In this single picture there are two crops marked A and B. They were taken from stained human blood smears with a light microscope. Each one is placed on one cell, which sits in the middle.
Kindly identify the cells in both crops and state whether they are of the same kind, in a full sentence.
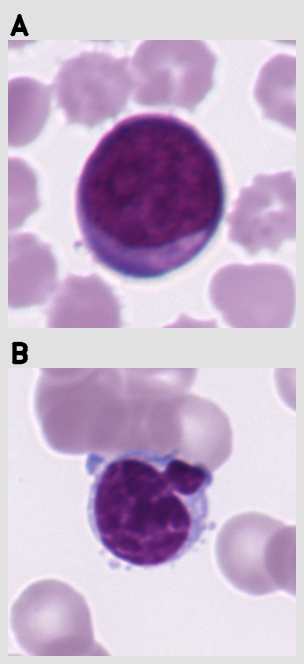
No, crop A captures a blast; meanwhile crop B captures a large granular lymphocyte.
